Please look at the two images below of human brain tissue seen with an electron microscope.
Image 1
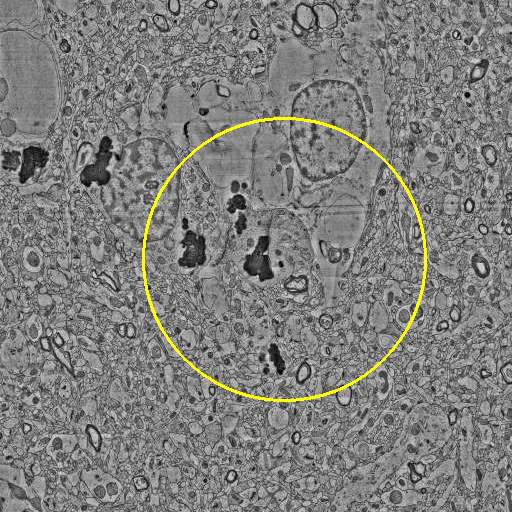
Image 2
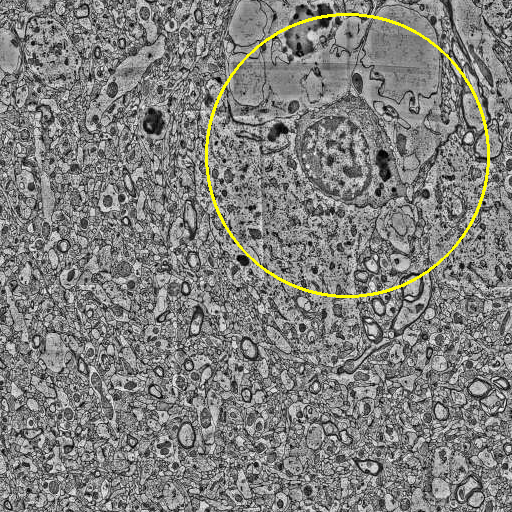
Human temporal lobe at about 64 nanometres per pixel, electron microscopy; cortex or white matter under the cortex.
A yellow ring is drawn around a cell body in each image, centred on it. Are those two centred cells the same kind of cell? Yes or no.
yes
